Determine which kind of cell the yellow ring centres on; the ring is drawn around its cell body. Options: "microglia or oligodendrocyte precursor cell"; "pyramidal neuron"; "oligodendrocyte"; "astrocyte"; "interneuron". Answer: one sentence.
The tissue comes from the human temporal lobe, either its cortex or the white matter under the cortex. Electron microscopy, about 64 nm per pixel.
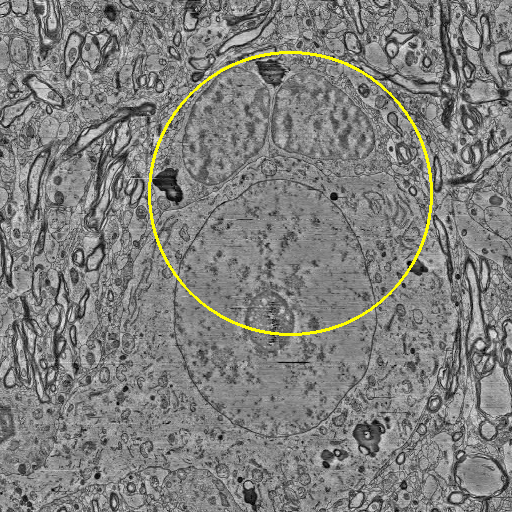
The ring centres on a pyramidal neuron.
